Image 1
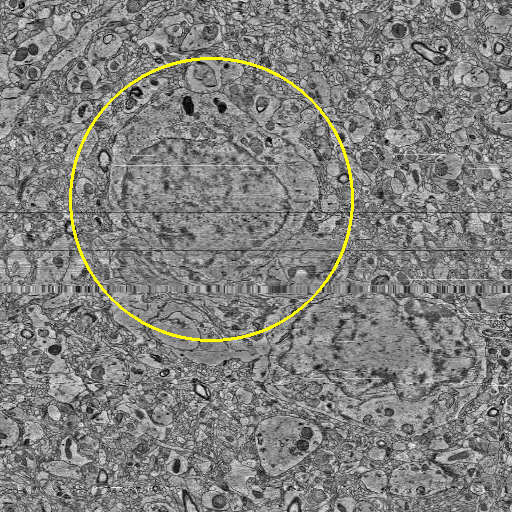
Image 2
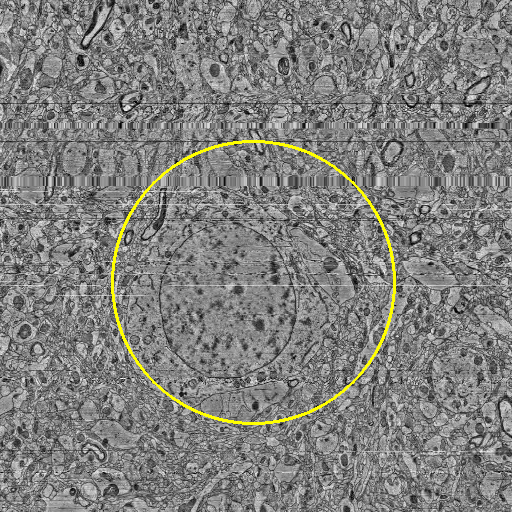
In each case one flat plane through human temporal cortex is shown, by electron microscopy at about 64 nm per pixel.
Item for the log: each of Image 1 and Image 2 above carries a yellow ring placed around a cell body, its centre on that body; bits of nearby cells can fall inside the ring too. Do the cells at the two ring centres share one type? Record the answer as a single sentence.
No, the two cells at the ring centres in Image 1 and Image 2 are of two types.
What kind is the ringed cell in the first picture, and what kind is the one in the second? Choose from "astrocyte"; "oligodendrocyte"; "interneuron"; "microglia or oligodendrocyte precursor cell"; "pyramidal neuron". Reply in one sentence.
The first cell is an interneuron; the second is a pyramidal neuron.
